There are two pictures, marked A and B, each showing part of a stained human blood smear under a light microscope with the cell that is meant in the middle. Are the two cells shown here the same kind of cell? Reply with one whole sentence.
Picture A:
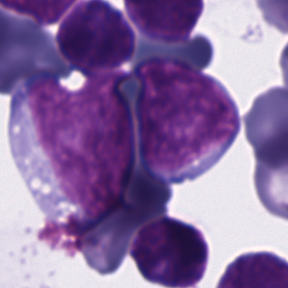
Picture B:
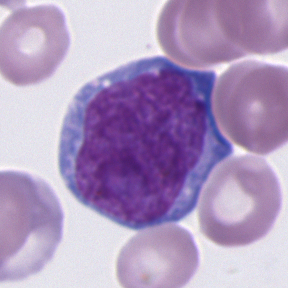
Yes; the cells in both pictures are myeloblasts.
